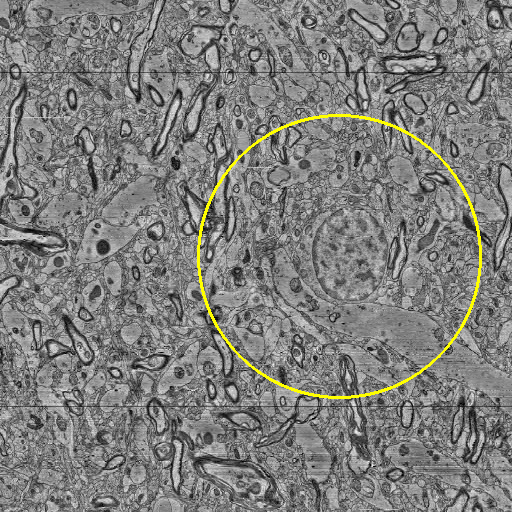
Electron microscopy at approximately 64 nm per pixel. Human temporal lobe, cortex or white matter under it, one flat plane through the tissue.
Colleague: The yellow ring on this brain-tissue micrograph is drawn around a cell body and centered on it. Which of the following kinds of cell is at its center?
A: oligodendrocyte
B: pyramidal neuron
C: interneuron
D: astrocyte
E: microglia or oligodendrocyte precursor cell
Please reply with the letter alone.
A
